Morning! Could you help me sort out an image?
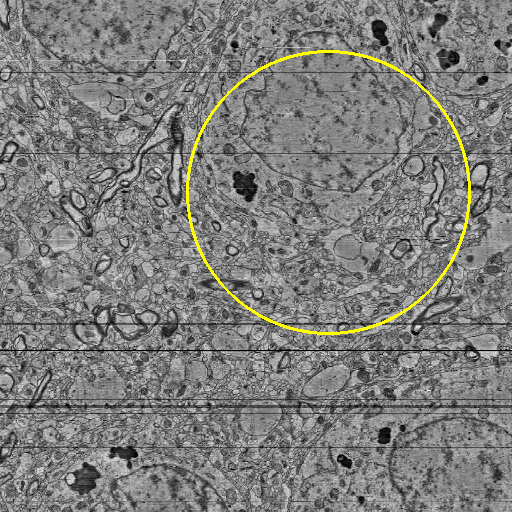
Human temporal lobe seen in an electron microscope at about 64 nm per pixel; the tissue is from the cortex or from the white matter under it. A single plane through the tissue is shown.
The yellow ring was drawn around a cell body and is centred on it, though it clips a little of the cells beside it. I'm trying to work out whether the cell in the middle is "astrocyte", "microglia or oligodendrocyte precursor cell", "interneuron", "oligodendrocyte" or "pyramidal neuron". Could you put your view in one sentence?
The ringed cell body is that of a pyramidal neuron.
